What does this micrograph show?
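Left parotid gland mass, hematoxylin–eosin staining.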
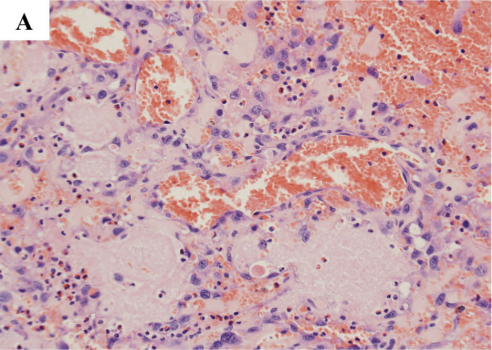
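Loose tissue holds large pools of red blood cells, some filling thin-walled channels and some spread freely between cells. Between them lie pale pink amorphous areas and scattered cells with enlarged, darker nuclei, along with many small round dark-nucleated cells.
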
